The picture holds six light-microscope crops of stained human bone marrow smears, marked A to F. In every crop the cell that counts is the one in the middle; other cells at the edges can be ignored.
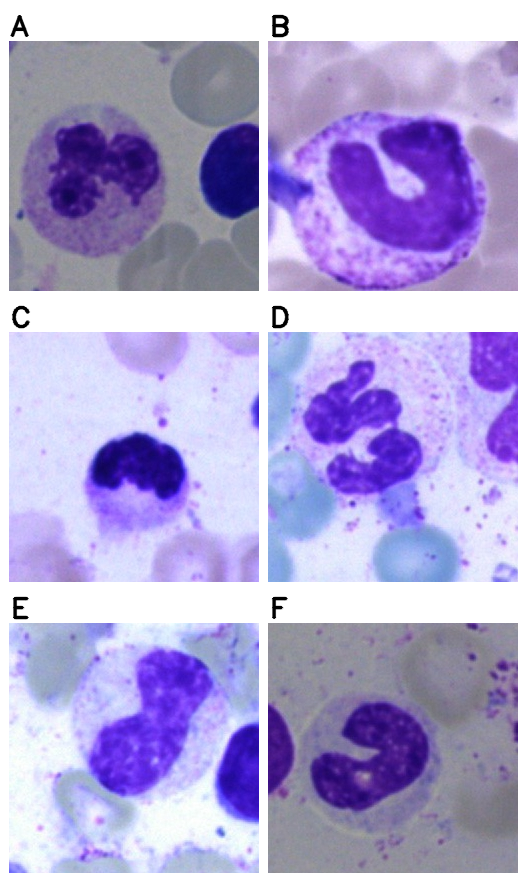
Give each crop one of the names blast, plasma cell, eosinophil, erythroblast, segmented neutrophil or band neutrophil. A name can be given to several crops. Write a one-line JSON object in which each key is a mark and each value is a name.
{"A": "segmented neutrophil", "B": "band neutrophil", "C": "segmented neutrophil", "D": "segmented neutrophil", "E": "band neutrophil", "F": "segmented neutrophil"}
